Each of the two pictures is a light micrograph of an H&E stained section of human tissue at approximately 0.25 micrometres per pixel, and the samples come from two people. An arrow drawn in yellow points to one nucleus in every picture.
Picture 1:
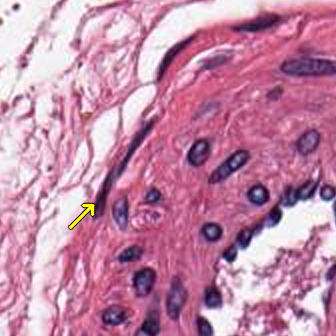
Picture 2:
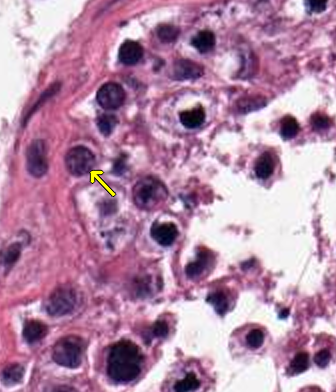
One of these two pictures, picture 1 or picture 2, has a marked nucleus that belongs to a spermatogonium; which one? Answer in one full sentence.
The marked nucleus belongs to a spermatogonium in picture 2 but not in the other picture.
